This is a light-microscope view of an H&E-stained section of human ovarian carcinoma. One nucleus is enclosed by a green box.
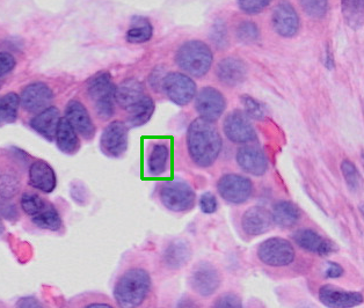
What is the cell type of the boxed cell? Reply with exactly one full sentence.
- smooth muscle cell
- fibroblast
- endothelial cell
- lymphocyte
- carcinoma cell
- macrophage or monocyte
At the level of cell identity, the boxed cell is a macrophage or monocyte.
